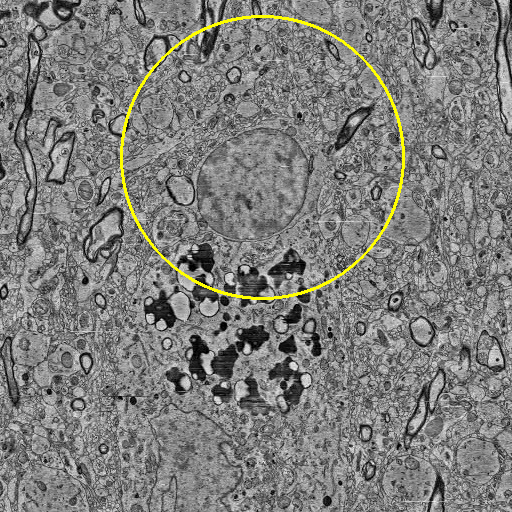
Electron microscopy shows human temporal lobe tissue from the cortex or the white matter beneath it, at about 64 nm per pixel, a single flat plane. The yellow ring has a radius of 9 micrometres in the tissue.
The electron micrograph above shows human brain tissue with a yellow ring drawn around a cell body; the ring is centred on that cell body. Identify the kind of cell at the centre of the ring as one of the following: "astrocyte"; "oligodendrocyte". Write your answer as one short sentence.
The cell at the centre of the ring is an oligodendrocyte.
